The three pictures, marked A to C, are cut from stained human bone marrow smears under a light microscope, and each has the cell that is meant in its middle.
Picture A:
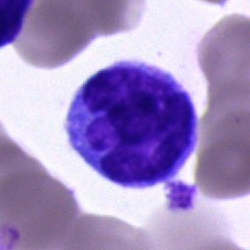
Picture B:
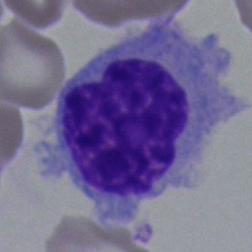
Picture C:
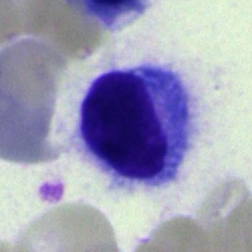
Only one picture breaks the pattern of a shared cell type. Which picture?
A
